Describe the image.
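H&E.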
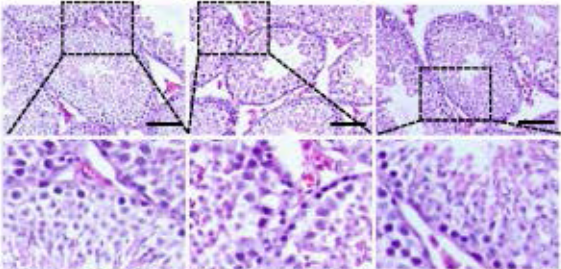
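Cross-sectioned seminiferous tubules of testis, each filled with a thick, many-layered epithelium of cells with round, dark purple nuclei. The cells crowd from the tubule wall toward a narrow central lumen. The enlarged views show the densely packed nuclei in detail. No tubule appears emptied.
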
